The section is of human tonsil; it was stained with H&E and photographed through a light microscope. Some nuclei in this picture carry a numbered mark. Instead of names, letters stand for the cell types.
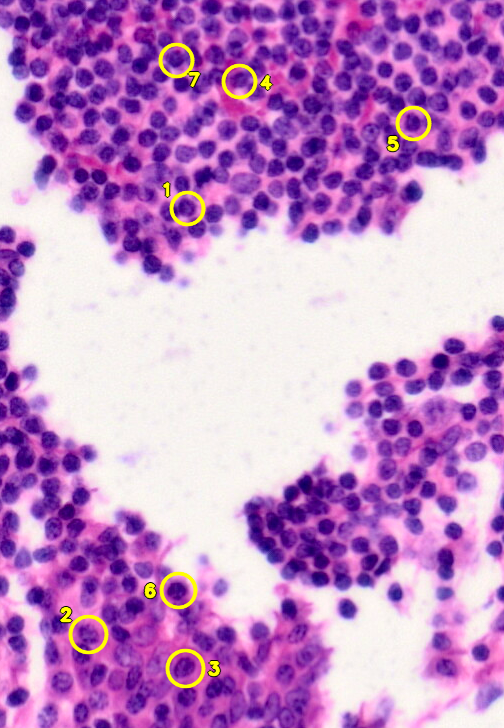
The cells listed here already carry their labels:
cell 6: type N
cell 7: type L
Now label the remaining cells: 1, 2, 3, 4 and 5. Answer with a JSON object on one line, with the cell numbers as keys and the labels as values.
{"1": "type L", "2": "type N", "3": "type N", "4": "type L", "5": "type L"}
